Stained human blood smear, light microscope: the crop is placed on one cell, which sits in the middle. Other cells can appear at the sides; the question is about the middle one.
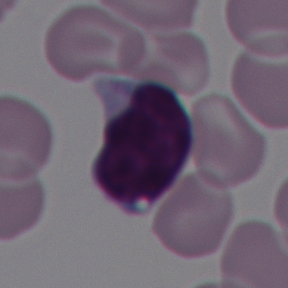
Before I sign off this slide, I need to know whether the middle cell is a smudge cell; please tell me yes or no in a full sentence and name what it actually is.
No, the central cell is not a smudge cell; it is a typical lymphocyte.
